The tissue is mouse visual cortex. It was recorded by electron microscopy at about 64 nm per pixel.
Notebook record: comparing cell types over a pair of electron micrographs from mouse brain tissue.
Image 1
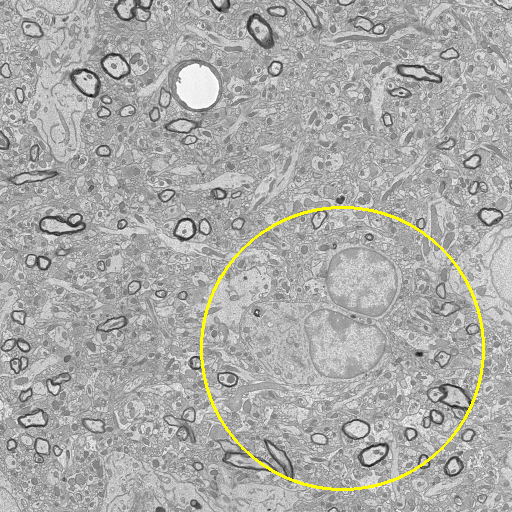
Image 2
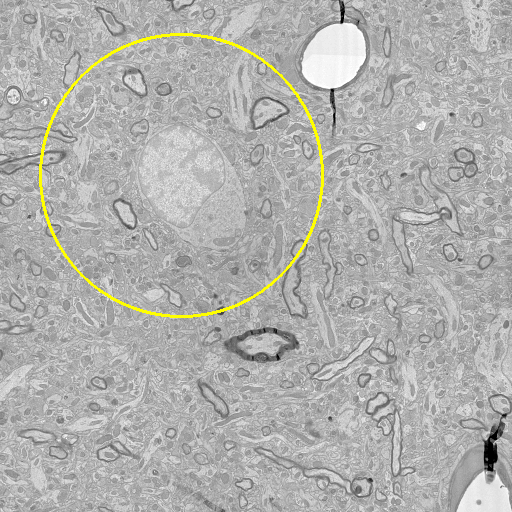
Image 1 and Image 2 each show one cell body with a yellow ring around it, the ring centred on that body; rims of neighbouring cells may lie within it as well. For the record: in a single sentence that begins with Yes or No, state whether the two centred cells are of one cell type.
Yes, one cell type is shared by the centred cells of Image 1 and Image 2.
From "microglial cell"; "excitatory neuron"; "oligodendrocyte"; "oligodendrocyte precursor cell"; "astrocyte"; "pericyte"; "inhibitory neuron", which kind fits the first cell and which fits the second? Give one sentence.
In each of the two pictures, the ringed cell is an oligodendrocyte.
